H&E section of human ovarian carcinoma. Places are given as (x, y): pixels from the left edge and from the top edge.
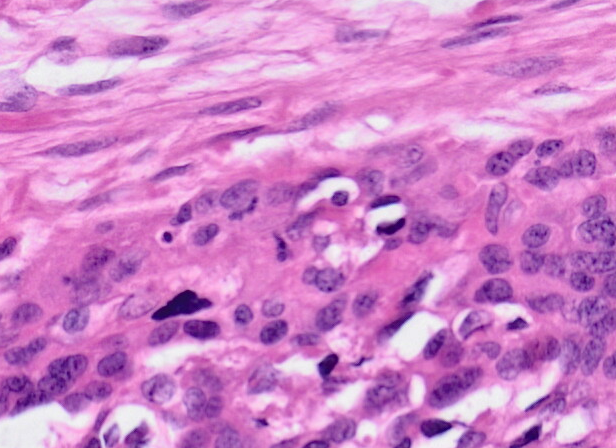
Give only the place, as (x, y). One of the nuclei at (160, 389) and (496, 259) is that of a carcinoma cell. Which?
(496, 259)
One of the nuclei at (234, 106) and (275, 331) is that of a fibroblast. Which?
(234, 106)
